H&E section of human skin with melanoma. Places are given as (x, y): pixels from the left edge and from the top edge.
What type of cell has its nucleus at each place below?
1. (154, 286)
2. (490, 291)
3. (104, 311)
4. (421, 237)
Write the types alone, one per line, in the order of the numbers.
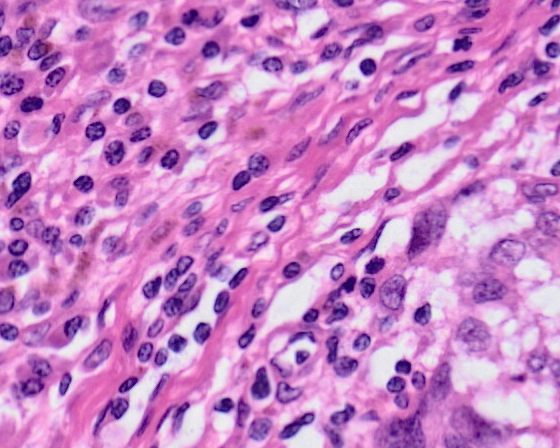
lymphocyte
melanoma cell
fibroblast or myofibroblast
melanoma cell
